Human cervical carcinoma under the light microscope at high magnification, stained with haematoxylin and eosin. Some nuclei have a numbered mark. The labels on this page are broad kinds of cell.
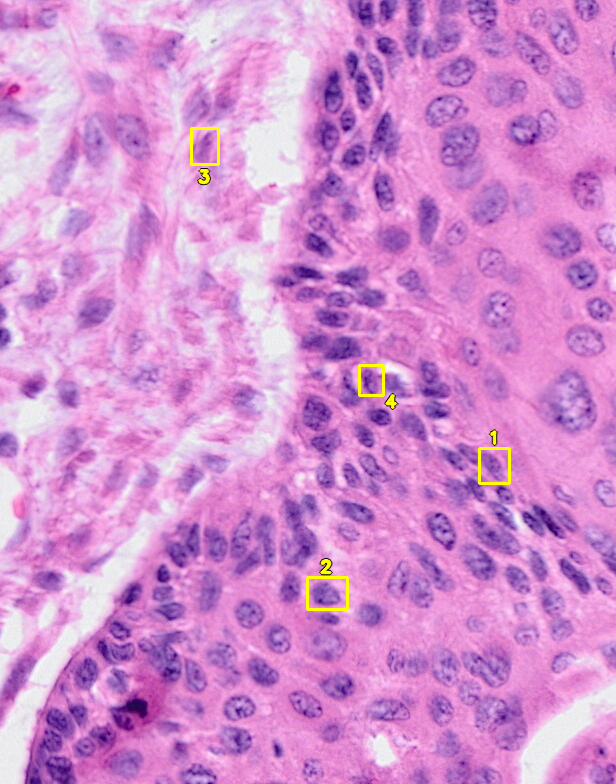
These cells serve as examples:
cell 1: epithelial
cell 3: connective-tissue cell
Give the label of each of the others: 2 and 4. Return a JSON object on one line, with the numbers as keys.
{"2": "epithelial", "4": "epithelial"}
